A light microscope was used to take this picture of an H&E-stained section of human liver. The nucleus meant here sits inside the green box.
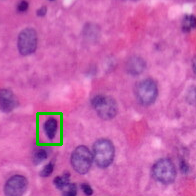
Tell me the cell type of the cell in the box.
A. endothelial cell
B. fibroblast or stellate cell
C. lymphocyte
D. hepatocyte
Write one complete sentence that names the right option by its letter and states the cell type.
As the cell in the box is a lymphocyte, the correct choice is option C.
